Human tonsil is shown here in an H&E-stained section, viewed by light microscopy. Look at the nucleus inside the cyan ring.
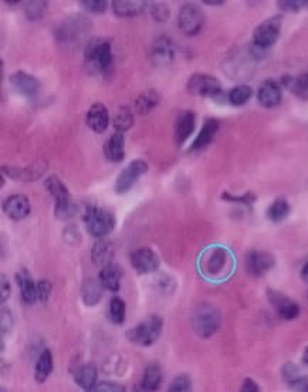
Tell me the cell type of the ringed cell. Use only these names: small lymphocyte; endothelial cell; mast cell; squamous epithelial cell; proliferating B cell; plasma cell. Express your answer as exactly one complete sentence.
In the tissue at hand, the ringed cell is a mast cell.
